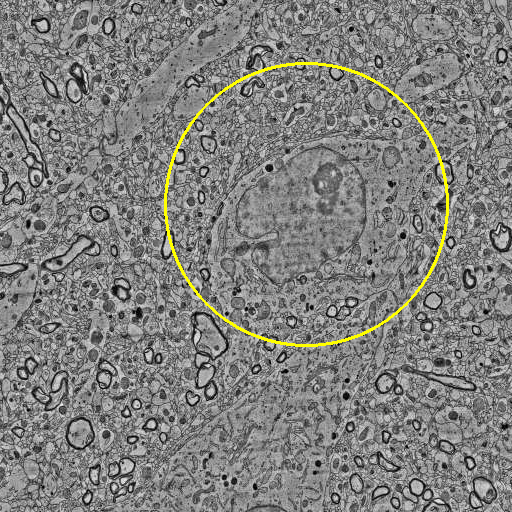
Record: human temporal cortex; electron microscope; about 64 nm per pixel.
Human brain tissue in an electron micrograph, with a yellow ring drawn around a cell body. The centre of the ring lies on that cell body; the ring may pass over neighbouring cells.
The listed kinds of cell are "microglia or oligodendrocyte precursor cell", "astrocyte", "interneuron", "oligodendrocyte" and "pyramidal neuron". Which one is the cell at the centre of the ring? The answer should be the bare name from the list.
interneuron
